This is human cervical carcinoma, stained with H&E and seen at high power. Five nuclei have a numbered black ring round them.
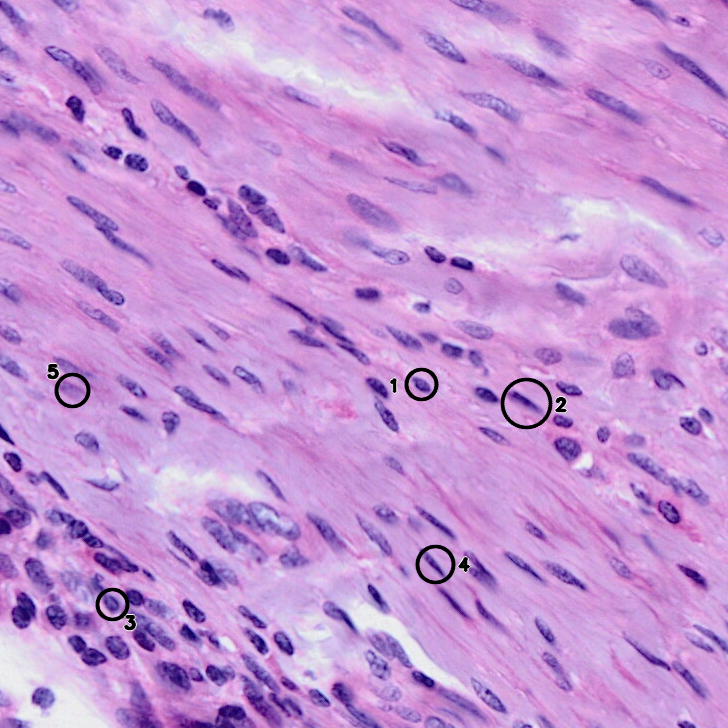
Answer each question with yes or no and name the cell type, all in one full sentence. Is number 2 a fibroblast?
Yes, the cell referred to as number 2 is a fibroblast.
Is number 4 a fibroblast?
Yes, the cell bearing the number 4 is a fibroblast.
